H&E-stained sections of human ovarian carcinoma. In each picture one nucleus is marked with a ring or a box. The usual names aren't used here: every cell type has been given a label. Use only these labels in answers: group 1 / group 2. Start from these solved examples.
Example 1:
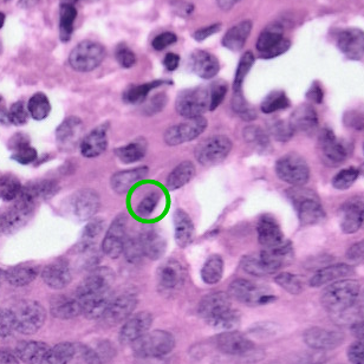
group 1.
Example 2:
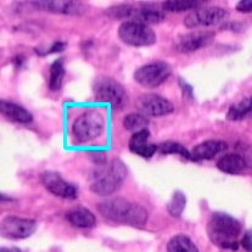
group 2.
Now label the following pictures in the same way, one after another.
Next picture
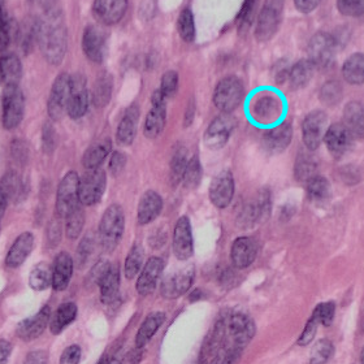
group 1.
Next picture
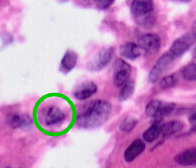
group 2.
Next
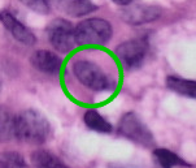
group 1.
